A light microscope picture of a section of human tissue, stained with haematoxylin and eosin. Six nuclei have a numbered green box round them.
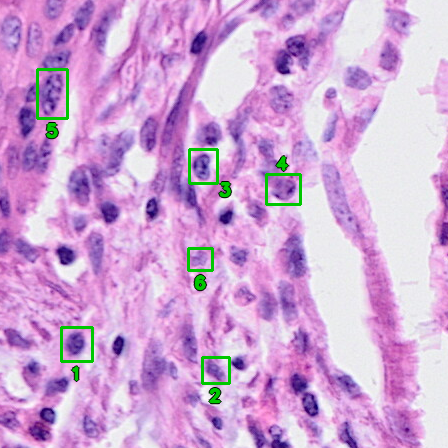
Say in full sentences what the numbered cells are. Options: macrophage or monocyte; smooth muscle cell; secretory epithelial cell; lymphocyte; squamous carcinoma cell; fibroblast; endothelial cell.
Cell 1 is a lymphocyte, cell 2 is a fibroblast, cell 3 is a lymphocyte, cell 4 is a macrophage or monocyte, cell 5 is a squamous carcinoma cell and cell 6 is a fibroblast.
